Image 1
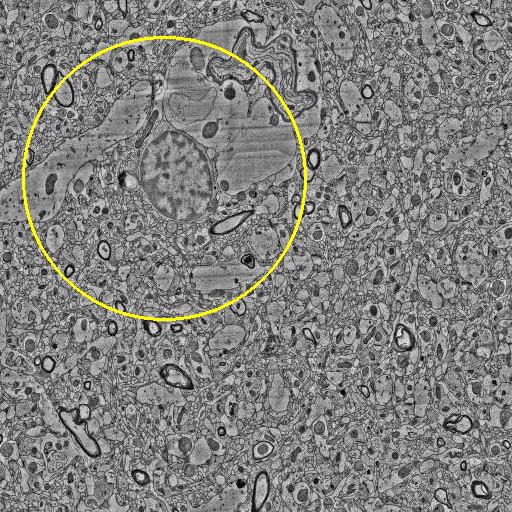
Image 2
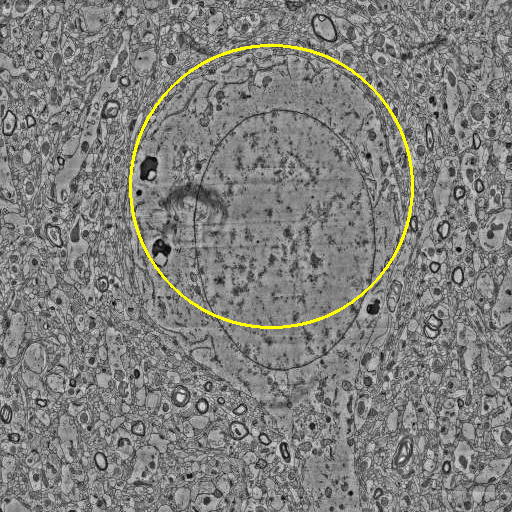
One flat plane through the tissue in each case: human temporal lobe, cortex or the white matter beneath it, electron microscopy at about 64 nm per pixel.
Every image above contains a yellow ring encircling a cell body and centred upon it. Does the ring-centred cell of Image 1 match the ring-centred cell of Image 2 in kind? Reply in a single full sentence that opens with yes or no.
No, the cell at the ring's centre in Image 1 is a separate kind from that in Image 2.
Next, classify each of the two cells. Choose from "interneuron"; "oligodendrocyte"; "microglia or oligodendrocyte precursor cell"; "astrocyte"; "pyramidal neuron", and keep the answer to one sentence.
In the first picture it is an oligodendrocyte; in the second it is a pyramidal neuron.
